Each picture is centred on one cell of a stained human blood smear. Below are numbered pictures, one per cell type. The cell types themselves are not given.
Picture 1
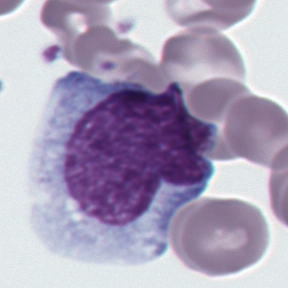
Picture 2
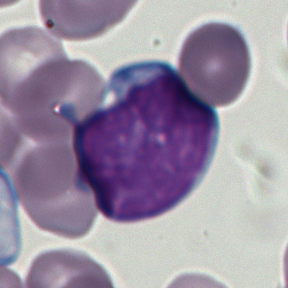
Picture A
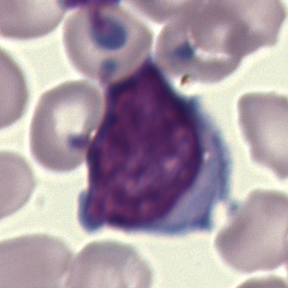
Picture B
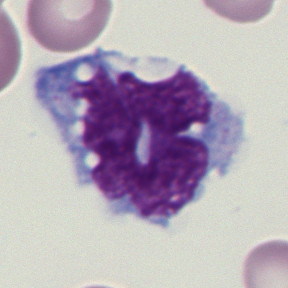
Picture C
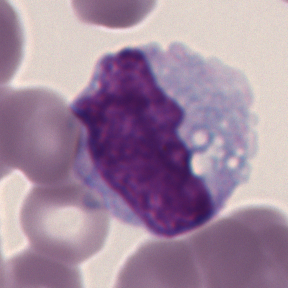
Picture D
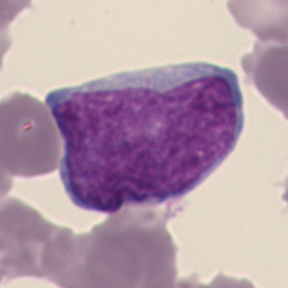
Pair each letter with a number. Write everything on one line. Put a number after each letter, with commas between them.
A 2, B 1, C 1, D 2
